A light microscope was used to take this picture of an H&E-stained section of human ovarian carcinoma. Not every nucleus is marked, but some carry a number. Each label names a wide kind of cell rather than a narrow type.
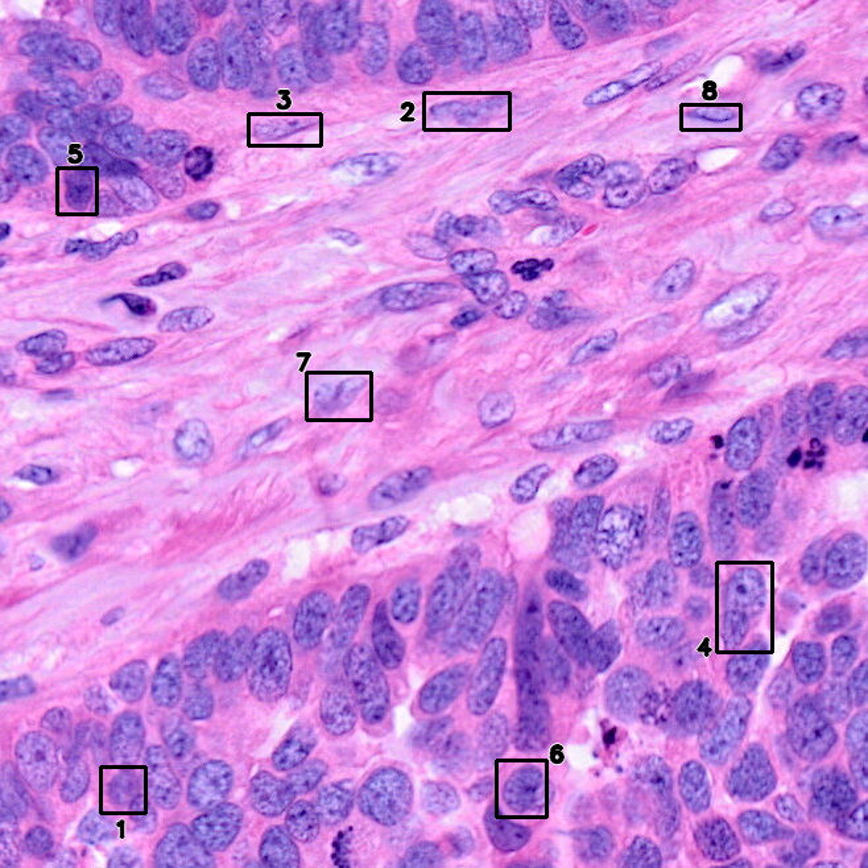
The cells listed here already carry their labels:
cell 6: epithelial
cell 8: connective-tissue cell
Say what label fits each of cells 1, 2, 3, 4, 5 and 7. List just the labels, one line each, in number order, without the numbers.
epithelial
connective-tissue cell
connective-tissue cell
epithelial
epithelial
connective-tissue cell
